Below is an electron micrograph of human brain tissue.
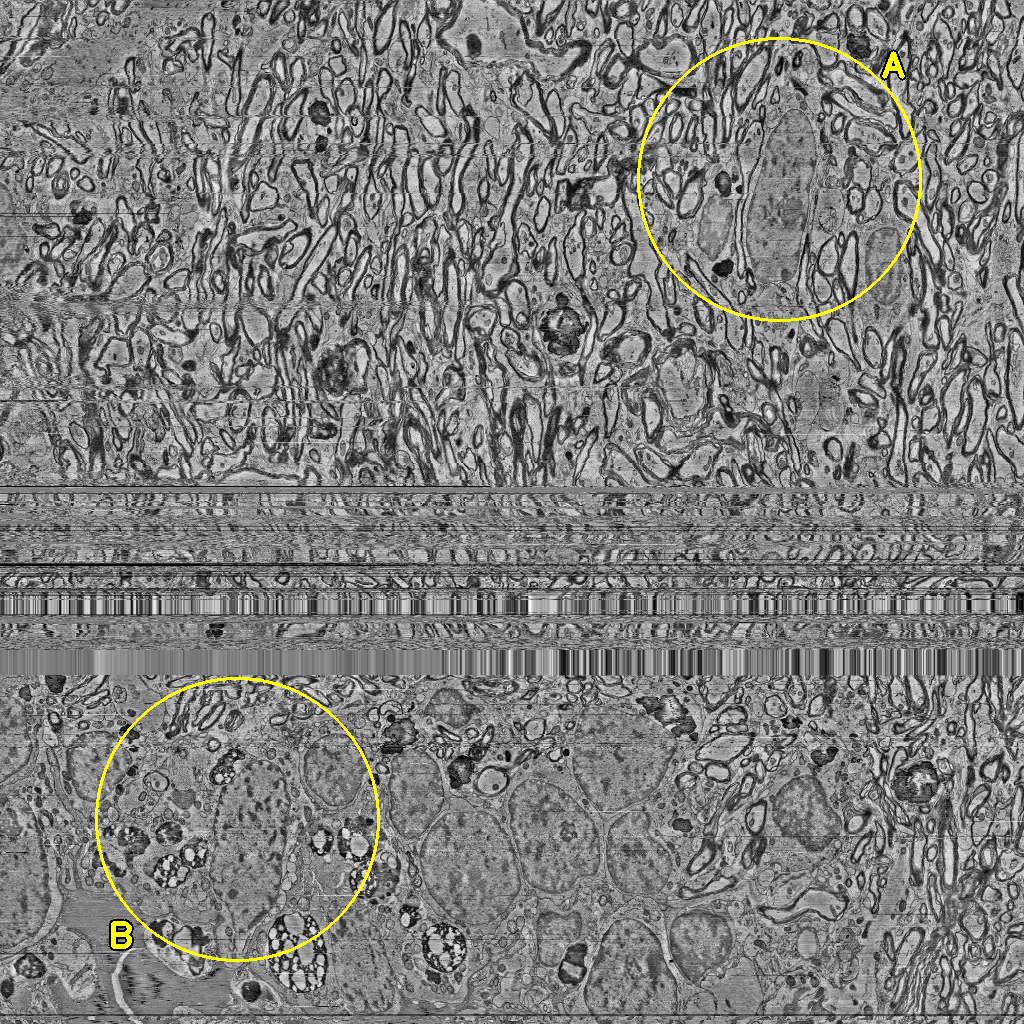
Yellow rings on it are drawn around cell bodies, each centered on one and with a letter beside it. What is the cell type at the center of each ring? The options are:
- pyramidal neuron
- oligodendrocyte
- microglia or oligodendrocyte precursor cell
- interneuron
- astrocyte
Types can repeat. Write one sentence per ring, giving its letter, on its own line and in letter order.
At the center of ring A is a microglial cell or oligodendrocyte precursor cell.
At the center of ring B is an astrocyte.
